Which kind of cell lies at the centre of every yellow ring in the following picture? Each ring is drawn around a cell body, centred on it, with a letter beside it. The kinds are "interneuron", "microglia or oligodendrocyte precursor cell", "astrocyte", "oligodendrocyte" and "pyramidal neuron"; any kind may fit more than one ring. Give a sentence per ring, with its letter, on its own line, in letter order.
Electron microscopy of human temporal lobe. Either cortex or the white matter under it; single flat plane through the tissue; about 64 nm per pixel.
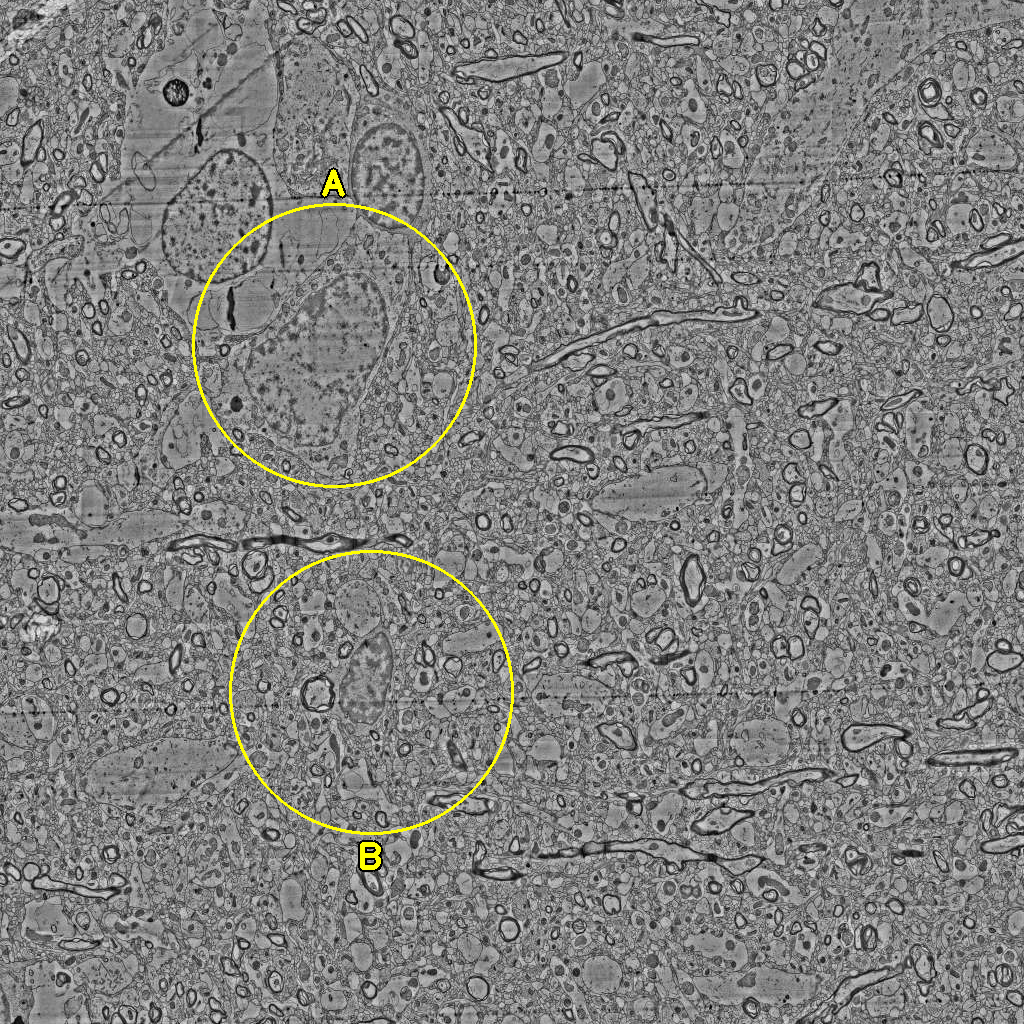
The cell body centred in ring A is that of an interneuron.
The cell body centred in ring B is that of an oligodendrocyte.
